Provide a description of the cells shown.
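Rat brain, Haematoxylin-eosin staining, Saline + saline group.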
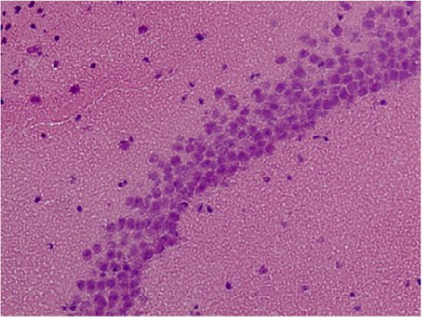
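This is a section of the hippocampus in which a broad band of pyramidal neurons runs diagonally across the field. The neuronal cell bodies are large, rounded to triangular and stained purple, crowded together several cells deep along the band. Around the band lies pale pink, finely granular neuropil with scattered small, dark, round nuclei that belong to glial cells.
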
